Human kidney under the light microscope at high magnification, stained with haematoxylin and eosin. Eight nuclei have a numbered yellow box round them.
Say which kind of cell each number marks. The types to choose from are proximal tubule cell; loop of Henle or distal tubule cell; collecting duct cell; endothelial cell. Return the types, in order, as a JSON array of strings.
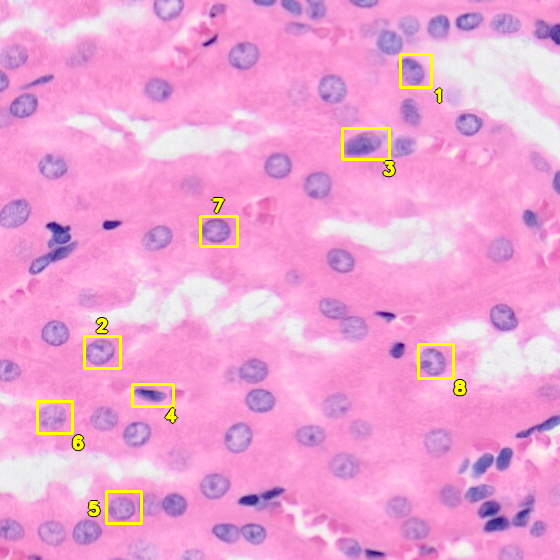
["collecting duct cell", "proximal tubule cell", "endothelial cell", "endothelial cell", "proximal tubule cell", "proximal tubule cell", "proximal tubule cell", "proximal tubule cell"]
